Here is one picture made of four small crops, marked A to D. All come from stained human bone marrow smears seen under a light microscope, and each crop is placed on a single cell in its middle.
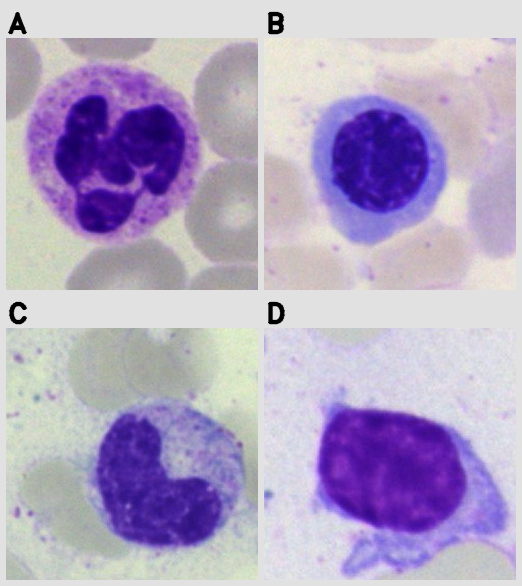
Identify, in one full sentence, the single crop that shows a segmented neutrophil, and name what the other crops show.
Crop A carries a segmented neutrophil in its middle, whereas crop B is an erythroblast, crop C is a band neutrophil and crop D is a lymphocyte.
